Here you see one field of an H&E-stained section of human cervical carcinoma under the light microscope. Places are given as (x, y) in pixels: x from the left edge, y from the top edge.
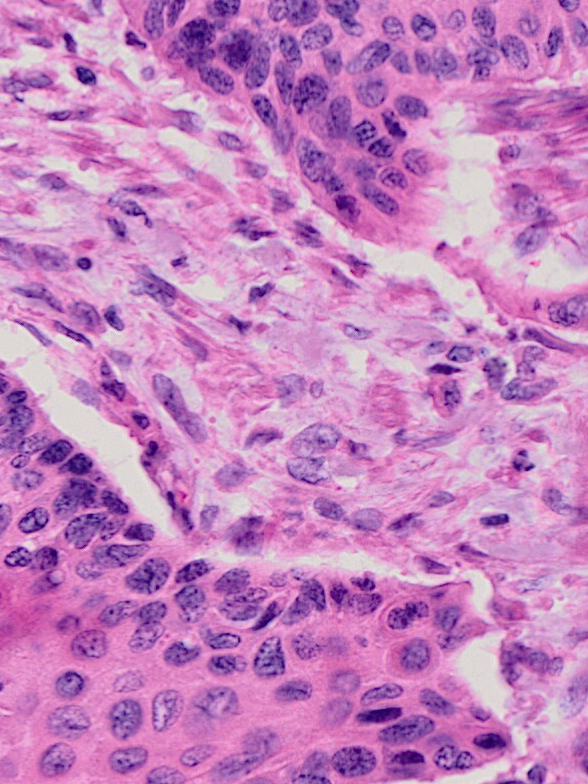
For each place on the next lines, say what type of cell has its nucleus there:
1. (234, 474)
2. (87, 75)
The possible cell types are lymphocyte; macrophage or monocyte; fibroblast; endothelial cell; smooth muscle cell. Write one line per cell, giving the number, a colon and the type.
1: fibroblast
2: lymphocyte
